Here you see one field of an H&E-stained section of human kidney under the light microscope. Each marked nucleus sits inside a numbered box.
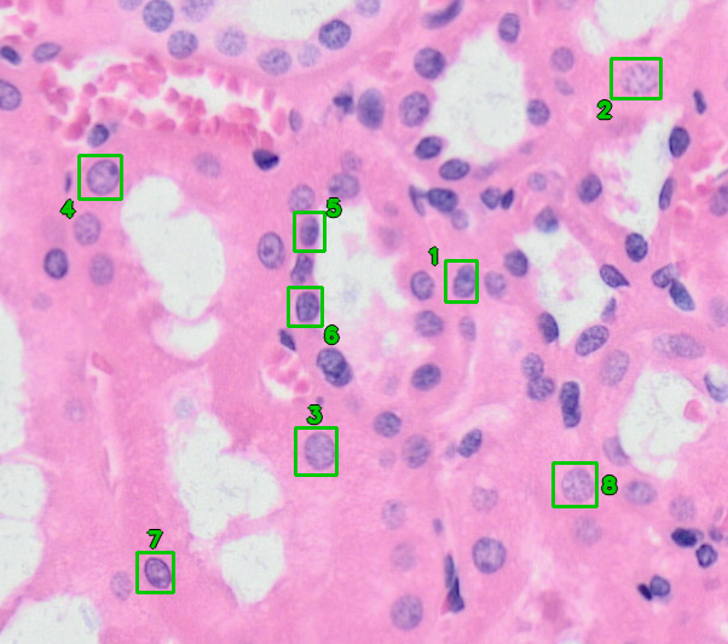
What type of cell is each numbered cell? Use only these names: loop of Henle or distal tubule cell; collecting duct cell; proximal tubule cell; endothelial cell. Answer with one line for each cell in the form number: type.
1: loop of Henle or distal tubule cell
2: proximal tubule cell
3: proximal tubule cell
4: proximal tubule cell
5: loop of Henle or distal tubule cell
6: loop of Henle or distal tubule cell
7: proximal tubule cell
8: proximal tubule cell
